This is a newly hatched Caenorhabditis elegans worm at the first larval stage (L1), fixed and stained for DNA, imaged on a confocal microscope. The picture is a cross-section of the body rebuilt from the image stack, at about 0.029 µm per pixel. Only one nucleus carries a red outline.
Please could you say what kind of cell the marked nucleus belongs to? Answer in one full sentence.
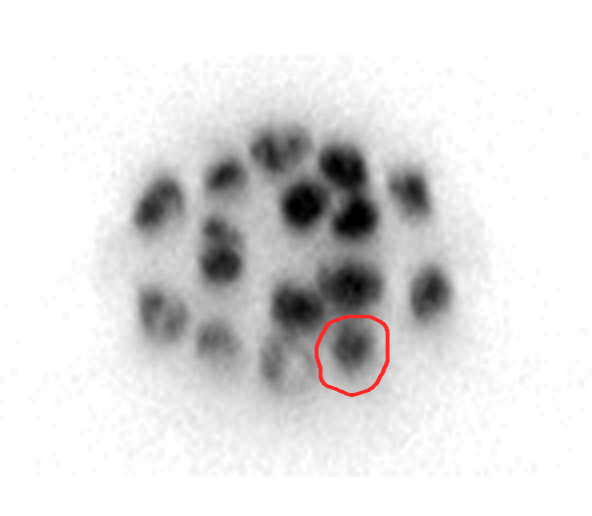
It is the nucleus of a glial cell (sheath or socket).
